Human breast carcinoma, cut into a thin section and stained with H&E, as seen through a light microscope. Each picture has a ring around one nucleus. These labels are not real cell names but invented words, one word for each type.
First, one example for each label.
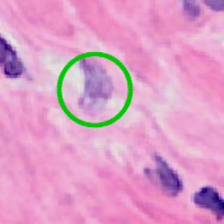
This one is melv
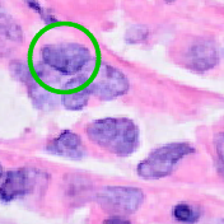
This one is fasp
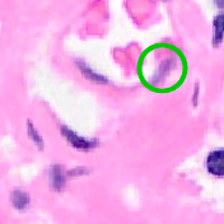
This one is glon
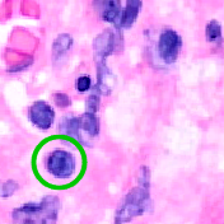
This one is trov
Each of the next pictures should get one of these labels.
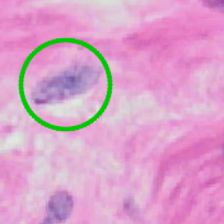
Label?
melv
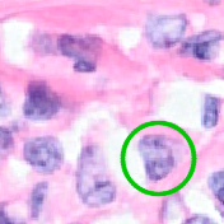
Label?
fasp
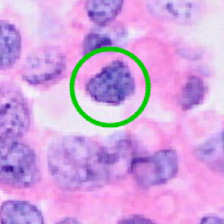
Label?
fasp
